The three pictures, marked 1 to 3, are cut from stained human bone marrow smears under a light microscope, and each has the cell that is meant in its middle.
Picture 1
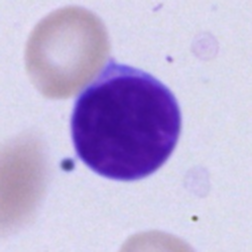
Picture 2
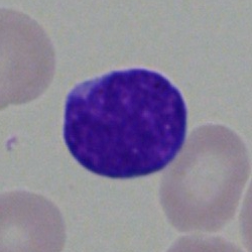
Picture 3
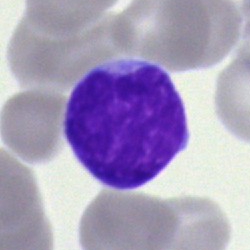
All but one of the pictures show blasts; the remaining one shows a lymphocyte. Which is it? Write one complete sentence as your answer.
Picture 1 is the one that shows the lymphocyte.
